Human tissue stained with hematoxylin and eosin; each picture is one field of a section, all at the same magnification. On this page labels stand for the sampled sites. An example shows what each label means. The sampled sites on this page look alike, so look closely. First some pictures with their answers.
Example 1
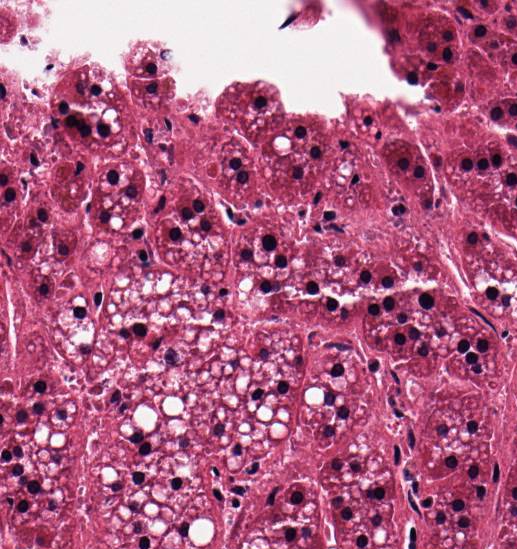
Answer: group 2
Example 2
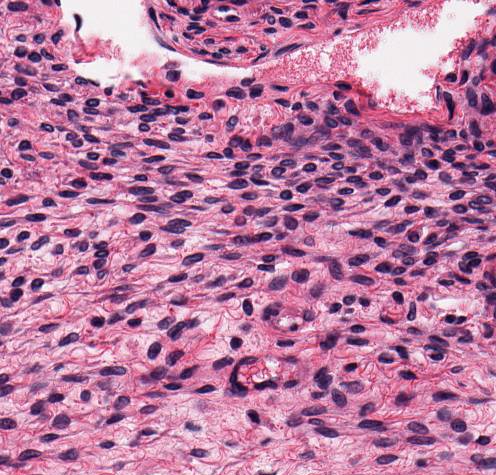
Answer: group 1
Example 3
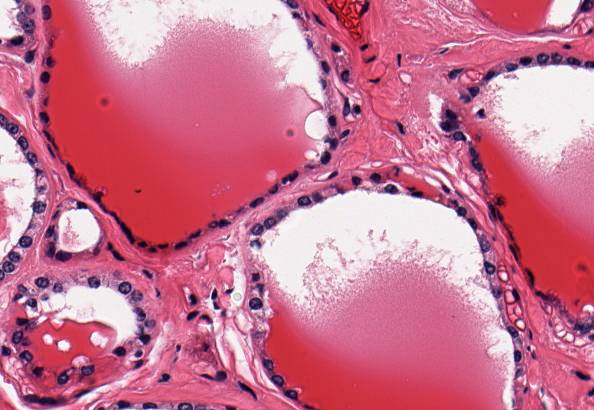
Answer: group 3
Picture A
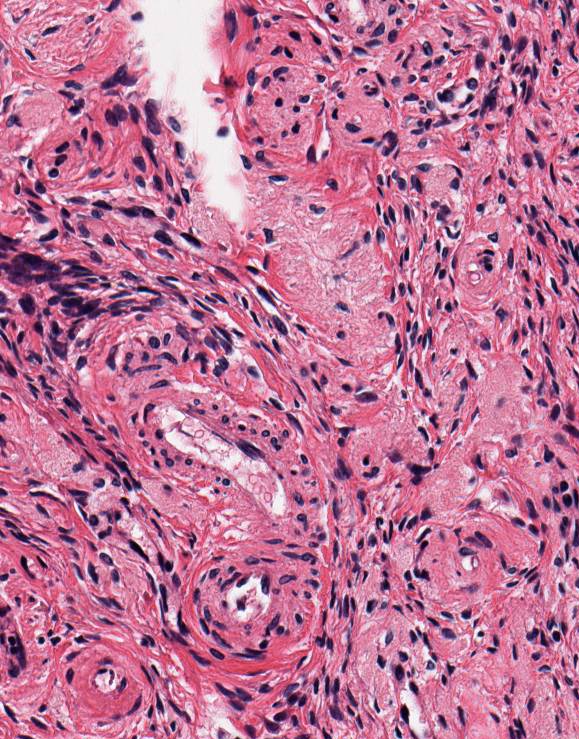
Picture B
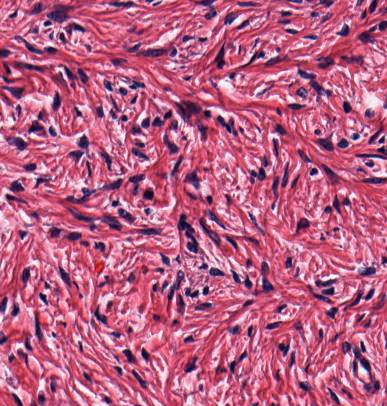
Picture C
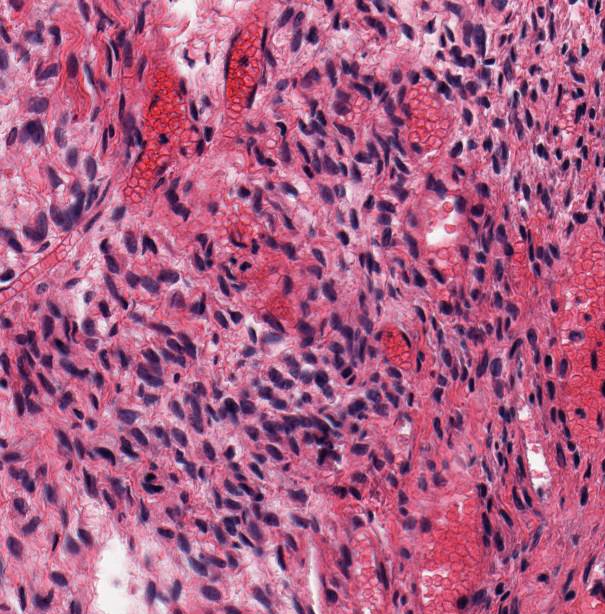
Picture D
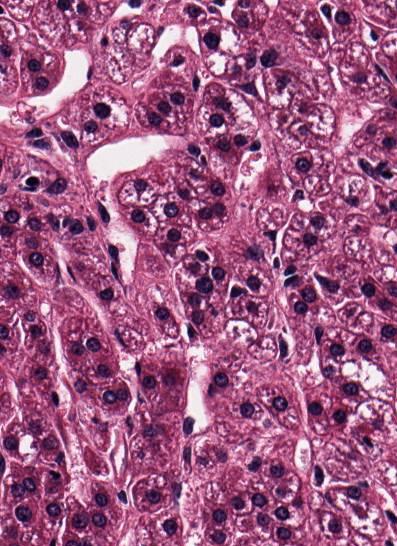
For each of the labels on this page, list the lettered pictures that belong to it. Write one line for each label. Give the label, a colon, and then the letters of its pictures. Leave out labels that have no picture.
group 2: D
group 1: A, B, C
